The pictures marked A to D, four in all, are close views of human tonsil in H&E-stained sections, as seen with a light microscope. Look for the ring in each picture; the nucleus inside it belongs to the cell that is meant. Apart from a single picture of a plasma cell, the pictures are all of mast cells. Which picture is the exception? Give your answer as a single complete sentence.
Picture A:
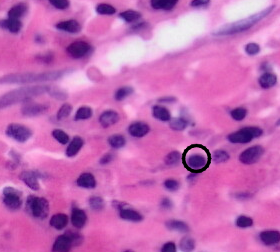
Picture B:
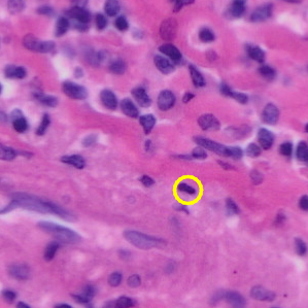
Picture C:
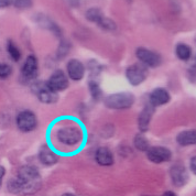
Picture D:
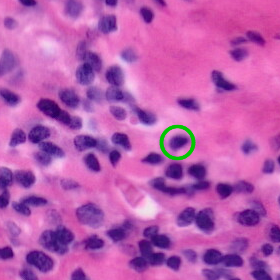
The cell in picture C is the plasma cell.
